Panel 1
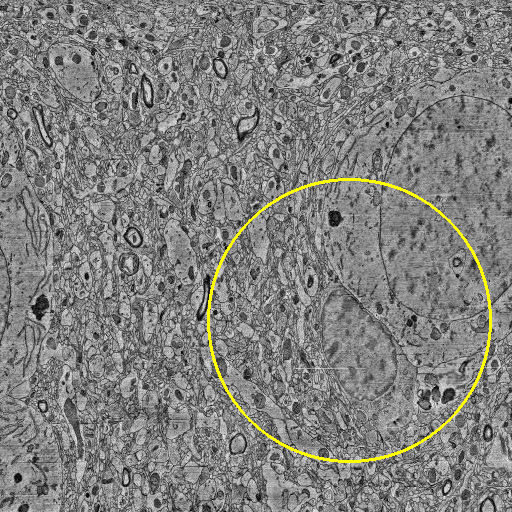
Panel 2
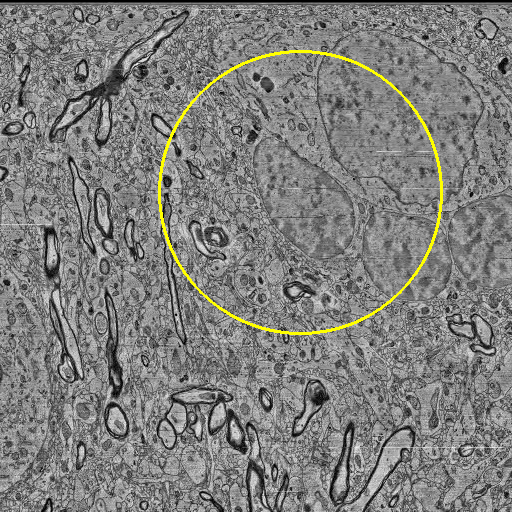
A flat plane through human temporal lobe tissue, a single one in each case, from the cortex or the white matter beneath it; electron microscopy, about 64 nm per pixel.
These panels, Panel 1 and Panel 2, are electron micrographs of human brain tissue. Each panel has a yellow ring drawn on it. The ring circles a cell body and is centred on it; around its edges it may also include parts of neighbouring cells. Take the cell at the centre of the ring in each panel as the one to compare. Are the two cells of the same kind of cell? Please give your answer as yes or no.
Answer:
yes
